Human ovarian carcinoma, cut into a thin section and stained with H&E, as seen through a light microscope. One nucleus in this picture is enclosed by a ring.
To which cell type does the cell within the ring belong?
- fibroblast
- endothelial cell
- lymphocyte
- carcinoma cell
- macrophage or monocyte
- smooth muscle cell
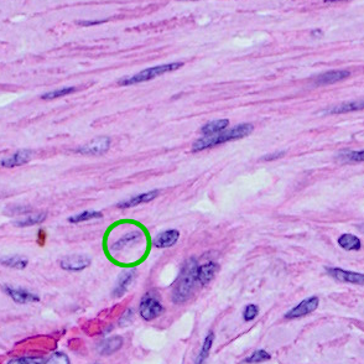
fibroblast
